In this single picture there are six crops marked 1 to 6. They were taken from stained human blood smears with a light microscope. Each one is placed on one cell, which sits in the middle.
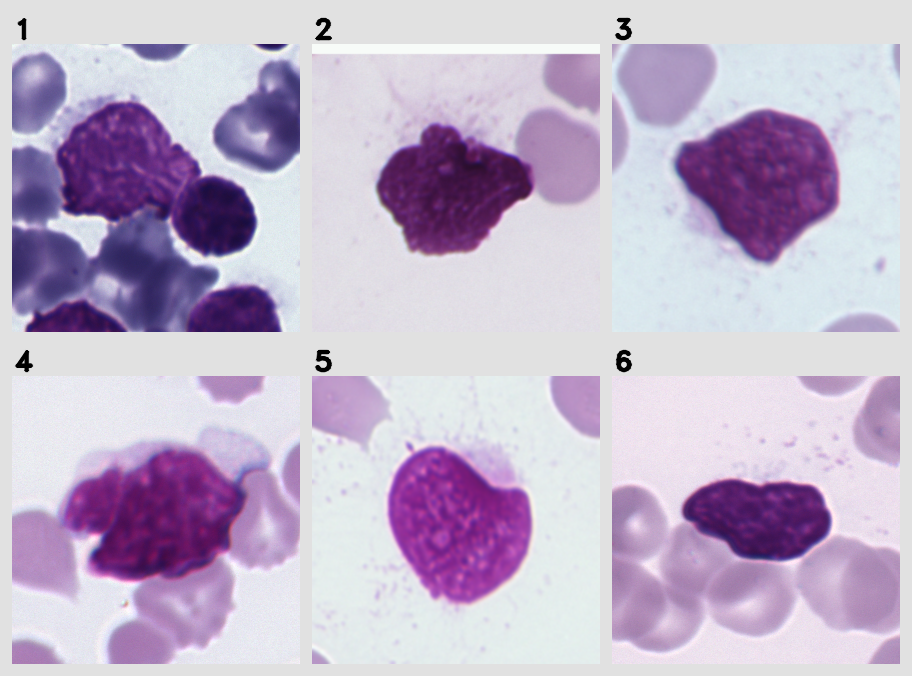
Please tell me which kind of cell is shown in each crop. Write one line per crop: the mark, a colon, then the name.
1: myeloblast
2: smudge cell
3: smudge cell
4: myeloblast
5: smudge cell
6: smudge cell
